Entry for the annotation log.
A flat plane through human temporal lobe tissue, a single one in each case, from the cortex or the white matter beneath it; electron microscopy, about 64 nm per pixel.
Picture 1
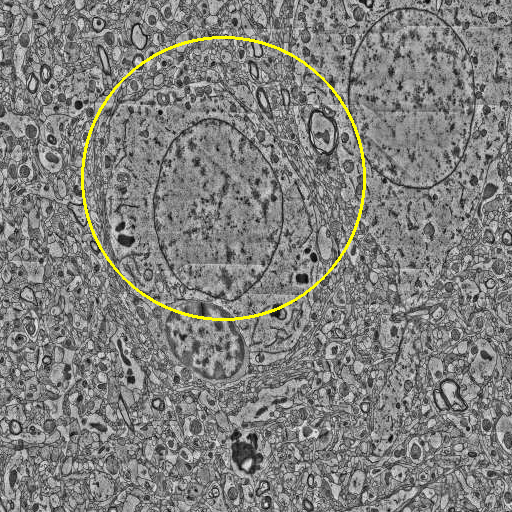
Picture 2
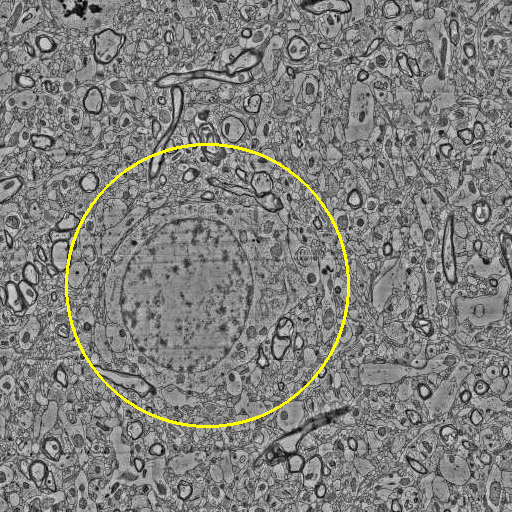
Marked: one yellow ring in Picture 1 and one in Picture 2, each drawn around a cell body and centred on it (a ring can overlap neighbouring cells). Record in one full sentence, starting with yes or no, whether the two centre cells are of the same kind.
No, the two cells are of two kinds.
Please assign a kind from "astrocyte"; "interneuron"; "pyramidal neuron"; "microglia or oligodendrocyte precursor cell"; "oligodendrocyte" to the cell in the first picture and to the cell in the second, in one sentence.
In the first picture we have a pyramidal neuron, and in the second, an interneuron.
